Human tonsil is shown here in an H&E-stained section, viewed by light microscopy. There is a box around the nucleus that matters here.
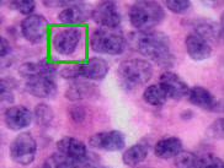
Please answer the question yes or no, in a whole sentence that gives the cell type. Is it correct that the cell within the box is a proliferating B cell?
Yes, the cell within the box is a proliferating B cell; nothing to add.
